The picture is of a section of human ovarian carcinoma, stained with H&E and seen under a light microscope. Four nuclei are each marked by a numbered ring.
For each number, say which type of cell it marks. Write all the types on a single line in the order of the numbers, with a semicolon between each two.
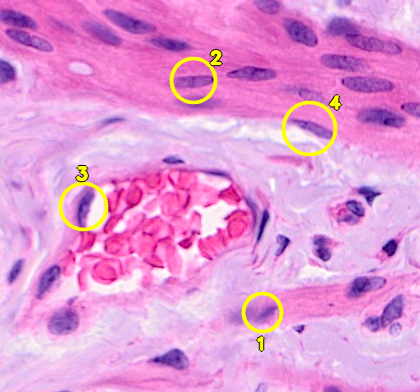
smooth muscle cell; smooth muscle cell; endothelial cell; smooth muscle cell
